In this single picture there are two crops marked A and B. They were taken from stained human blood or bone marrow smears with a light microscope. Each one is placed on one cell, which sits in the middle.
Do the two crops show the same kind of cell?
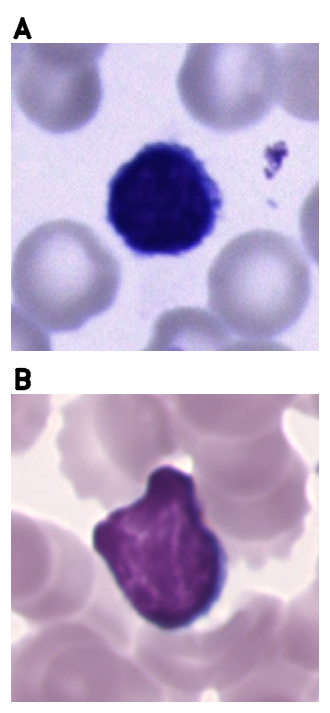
yes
